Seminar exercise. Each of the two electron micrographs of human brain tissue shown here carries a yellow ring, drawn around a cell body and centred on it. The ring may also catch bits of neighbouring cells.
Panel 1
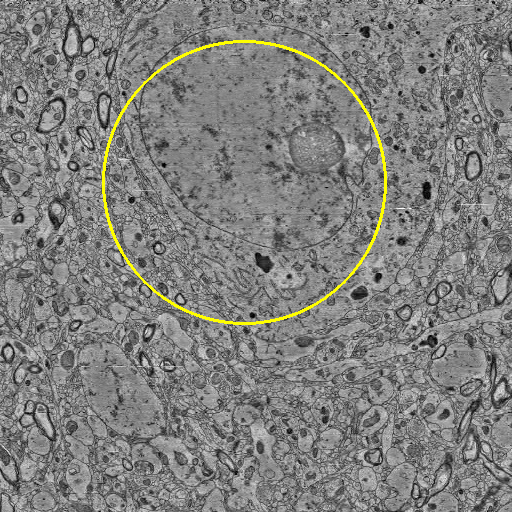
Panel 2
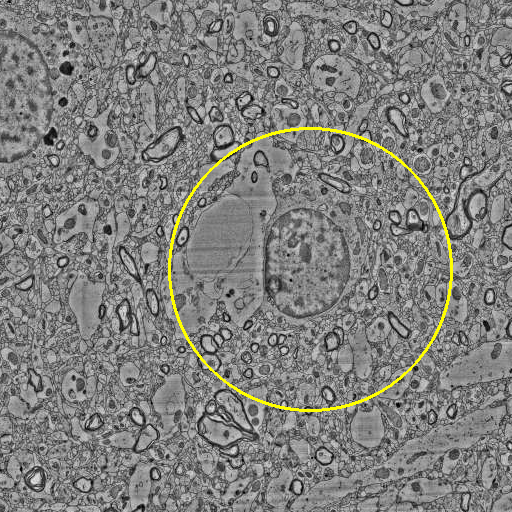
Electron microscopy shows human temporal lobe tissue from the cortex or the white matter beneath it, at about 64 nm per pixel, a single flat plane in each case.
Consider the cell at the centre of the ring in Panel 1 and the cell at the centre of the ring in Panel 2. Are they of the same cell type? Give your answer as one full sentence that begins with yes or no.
No, the two cells are of two types.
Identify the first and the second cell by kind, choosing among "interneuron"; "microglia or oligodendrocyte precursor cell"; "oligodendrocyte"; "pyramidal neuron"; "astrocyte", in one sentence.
The one in the first picture is a pyramidal neuron, while the one in the second is an oligodendrocyte.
